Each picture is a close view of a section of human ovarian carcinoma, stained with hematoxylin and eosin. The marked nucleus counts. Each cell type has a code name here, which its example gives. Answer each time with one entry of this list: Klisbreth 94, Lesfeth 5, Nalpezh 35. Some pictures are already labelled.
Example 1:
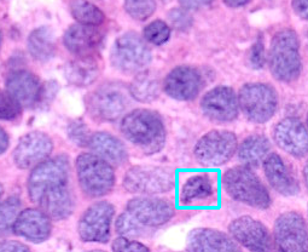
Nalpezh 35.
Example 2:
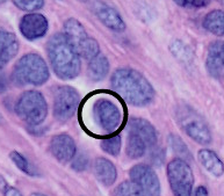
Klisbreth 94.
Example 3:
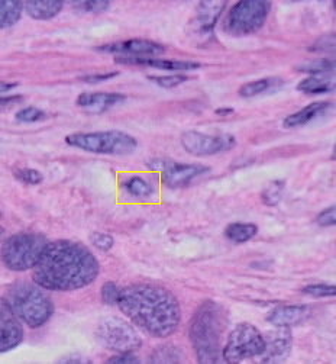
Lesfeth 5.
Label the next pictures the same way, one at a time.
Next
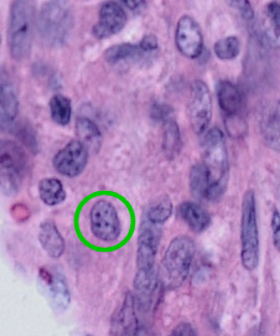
Nalpezh 35.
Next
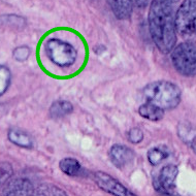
Lesfeth 5.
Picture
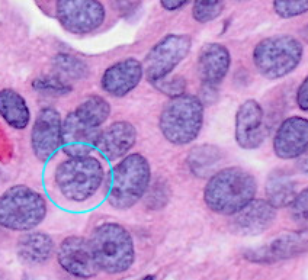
Klisbreth 94.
